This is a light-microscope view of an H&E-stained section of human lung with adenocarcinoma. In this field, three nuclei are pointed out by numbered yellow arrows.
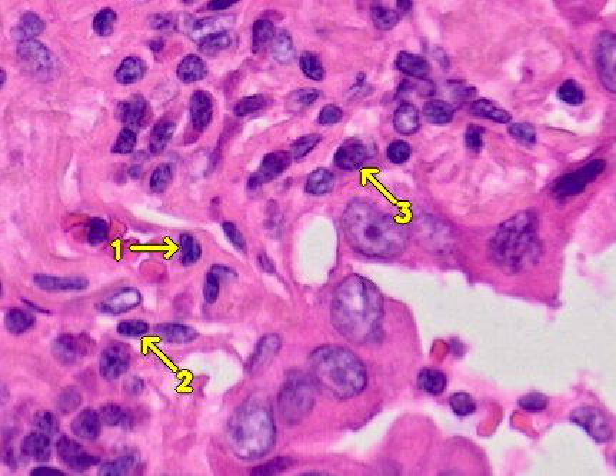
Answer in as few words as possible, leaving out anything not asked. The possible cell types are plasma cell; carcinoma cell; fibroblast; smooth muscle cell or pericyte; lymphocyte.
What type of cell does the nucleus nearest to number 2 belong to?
fibroblast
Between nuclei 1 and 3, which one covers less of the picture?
1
